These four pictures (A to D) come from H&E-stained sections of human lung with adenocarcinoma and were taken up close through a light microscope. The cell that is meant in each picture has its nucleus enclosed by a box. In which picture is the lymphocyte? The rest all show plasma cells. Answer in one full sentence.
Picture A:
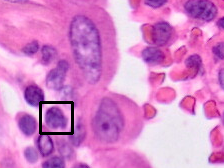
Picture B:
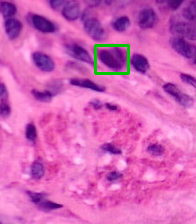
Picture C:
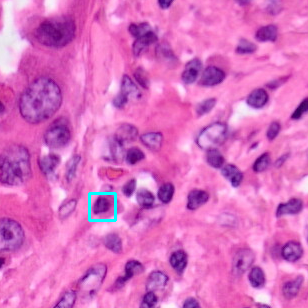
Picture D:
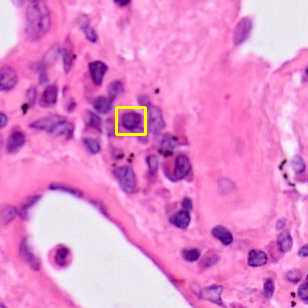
The lymphocyte is the one in picture A.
